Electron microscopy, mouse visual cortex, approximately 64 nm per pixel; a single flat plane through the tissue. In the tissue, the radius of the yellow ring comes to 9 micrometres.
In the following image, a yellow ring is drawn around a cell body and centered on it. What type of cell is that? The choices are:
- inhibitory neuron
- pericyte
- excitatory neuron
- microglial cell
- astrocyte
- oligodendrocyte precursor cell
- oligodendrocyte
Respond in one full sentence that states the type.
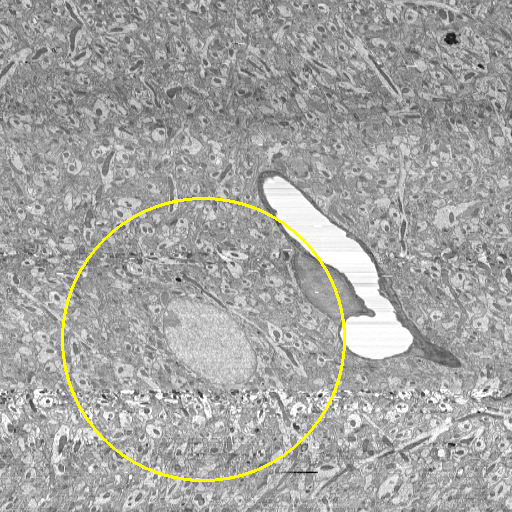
The cell at the center of the yellow ring in the image is an astrocyte.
